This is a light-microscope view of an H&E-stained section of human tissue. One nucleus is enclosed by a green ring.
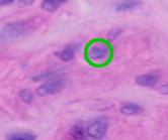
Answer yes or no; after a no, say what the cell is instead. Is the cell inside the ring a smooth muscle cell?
Yes.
